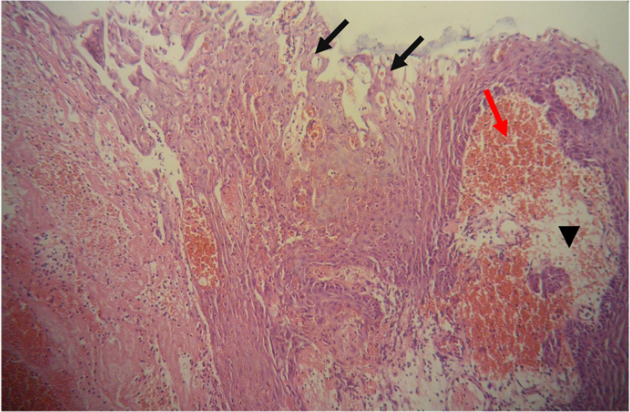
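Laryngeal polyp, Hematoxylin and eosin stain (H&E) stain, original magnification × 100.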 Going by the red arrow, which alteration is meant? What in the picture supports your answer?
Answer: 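The red arrow points into a large area packed with red-orange red blood cells. The area lies beneath the epithelium, outside vessel walls. On this evidence: hemorrhage.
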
